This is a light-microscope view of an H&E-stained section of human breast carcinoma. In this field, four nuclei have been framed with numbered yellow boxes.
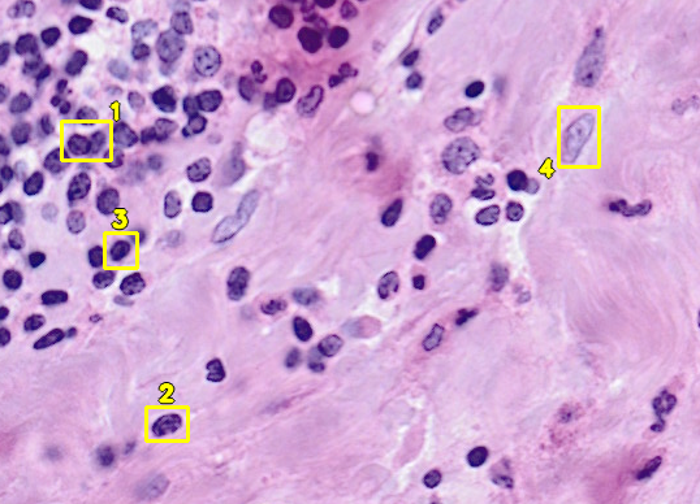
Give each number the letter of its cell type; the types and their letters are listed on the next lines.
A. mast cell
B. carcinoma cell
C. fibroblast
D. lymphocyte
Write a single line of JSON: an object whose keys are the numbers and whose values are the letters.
{"1": "D", "2": "D", "3": "D", "4": "C"}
